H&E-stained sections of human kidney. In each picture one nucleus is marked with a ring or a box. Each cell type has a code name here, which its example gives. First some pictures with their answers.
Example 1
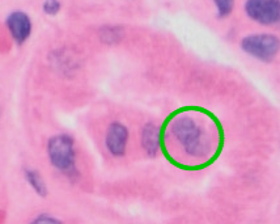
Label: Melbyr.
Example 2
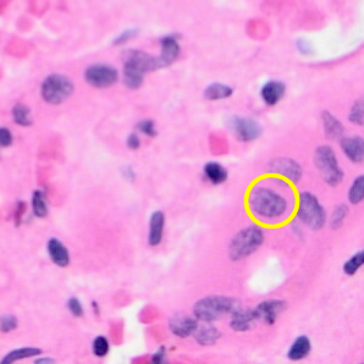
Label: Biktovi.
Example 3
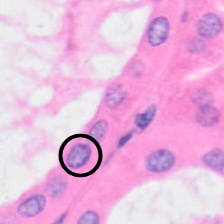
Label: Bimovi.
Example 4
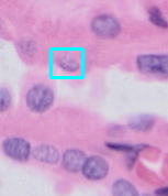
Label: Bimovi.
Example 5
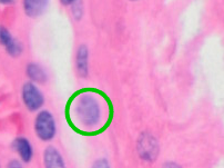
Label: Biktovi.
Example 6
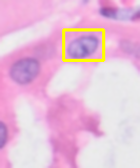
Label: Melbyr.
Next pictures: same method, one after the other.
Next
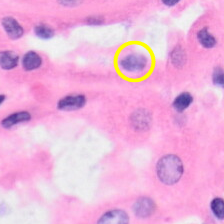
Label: Bimovi.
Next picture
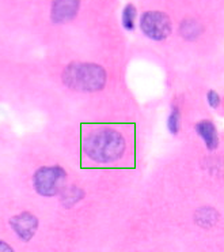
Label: Melbyr.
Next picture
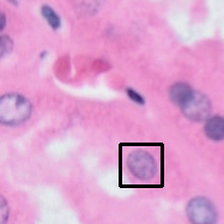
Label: Melbyr.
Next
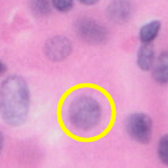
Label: Melbyr.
